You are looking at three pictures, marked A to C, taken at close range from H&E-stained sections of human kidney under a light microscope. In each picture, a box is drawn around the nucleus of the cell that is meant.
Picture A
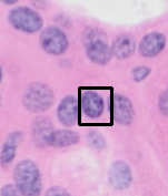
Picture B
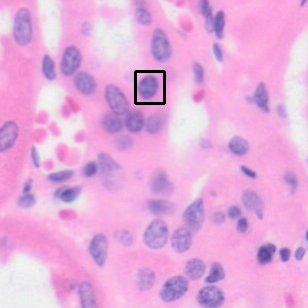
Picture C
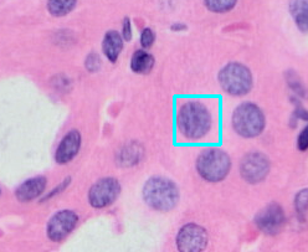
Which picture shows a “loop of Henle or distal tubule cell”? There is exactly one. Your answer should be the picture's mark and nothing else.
C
